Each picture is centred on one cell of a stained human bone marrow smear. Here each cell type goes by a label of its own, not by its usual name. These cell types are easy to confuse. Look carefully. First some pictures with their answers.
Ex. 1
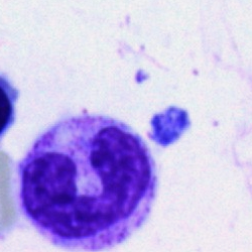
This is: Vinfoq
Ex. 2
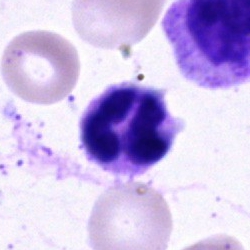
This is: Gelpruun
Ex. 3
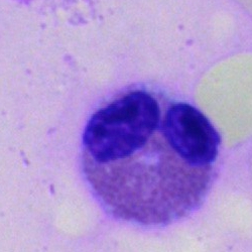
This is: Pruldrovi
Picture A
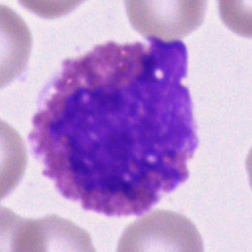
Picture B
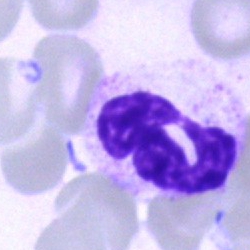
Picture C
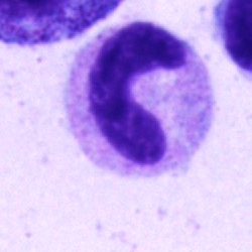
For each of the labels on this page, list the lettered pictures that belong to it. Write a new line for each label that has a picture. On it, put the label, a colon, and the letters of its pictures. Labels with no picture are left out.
Vinfoq: C
Gelpruun: B
Pruldrovi: A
